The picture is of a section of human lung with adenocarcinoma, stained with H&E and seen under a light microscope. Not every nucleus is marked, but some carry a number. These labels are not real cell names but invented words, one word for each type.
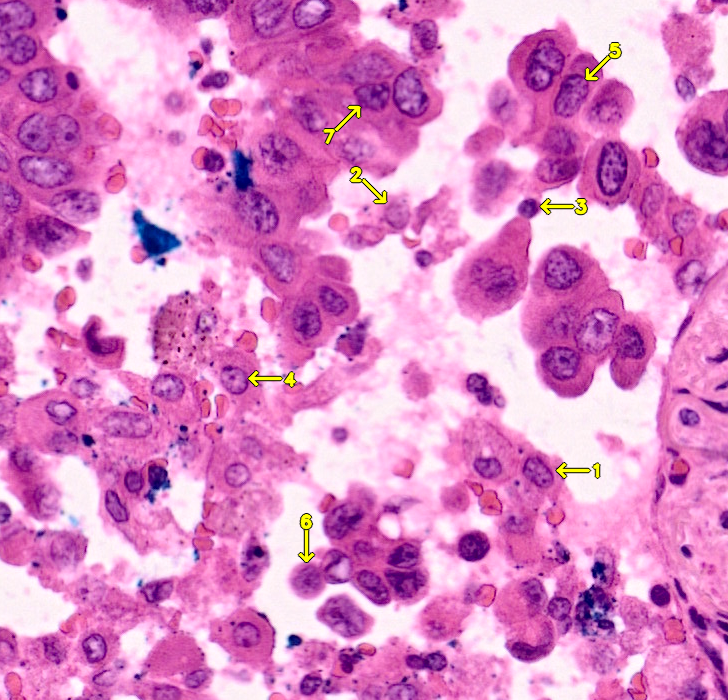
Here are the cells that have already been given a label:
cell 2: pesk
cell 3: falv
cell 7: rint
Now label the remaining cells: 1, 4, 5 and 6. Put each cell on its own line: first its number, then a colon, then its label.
1: pesk
4: pesk
5: rint
6: rint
